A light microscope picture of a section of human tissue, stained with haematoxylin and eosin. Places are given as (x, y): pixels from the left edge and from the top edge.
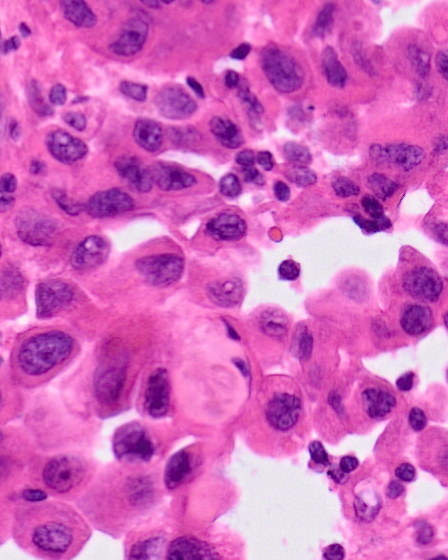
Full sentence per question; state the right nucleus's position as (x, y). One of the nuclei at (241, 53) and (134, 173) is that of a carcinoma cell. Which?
Of these two nuclei, only the one at (134, 173) belongs to a carcinoma cell.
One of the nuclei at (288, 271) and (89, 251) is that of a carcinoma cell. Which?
The one nucleus of the two that belongs to a carcinoma cell is at (89, 251).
